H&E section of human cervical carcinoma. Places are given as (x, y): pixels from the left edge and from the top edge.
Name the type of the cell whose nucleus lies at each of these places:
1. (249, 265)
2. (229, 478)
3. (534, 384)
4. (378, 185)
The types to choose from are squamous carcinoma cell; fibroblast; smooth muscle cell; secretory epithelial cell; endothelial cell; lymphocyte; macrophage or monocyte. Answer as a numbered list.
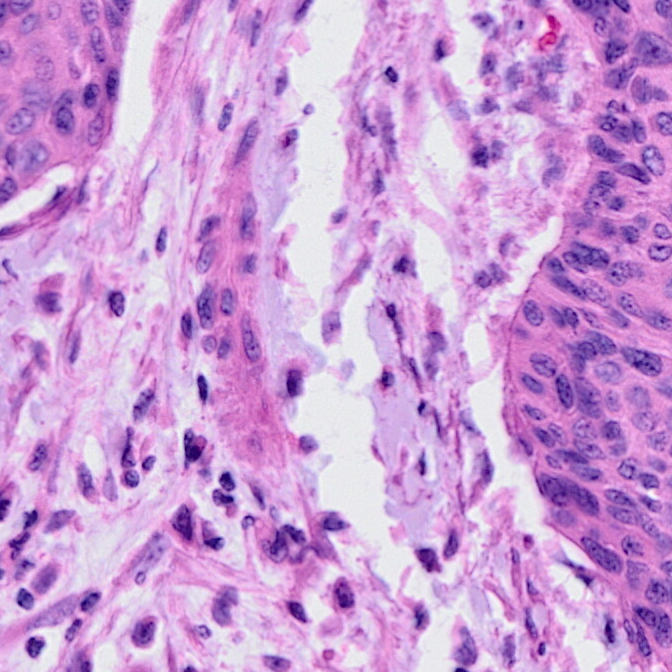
1. smooth muscle cell
2. lymphocyte
3. squamous carcinoma cell
4. fibroblast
